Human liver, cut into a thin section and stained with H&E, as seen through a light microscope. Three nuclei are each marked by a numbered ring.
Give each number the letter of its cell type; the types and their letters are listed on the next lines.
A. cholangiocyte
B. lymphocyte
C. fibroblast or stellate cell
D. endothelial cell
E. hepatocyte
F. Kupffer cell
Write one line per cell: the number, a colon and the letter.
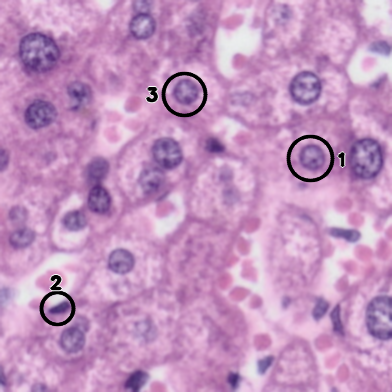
1: E
2: C
3: E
